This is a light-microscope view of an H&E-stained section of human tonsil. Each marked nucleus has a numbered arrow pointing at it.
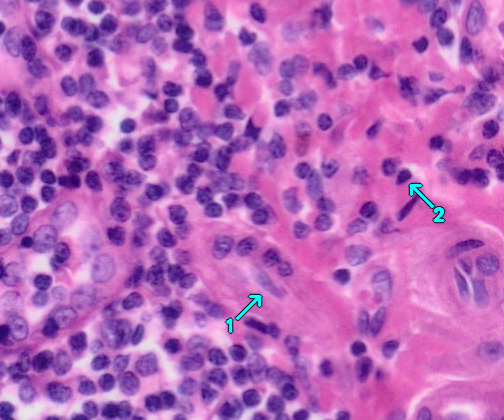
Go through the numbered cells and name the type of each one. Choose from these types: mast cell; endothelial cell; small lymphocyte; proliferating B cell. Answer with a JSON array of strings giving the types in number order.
["endothelial cell", "mast cell"]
